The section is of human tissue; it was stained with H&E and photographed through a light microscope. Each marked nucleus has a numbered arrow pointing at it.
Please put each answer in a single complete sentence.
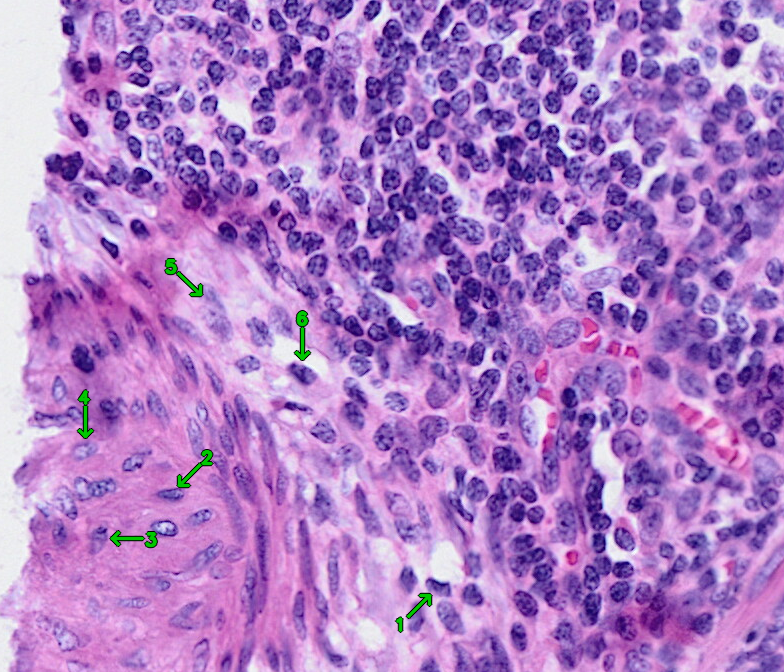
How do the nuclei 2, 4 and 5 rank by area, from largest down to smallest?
By area, largest first, they run 5, 4, 2.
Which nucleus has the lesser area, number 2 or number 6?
The smaller nucleus is 2, and 6 covers roughly 2 times its area.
